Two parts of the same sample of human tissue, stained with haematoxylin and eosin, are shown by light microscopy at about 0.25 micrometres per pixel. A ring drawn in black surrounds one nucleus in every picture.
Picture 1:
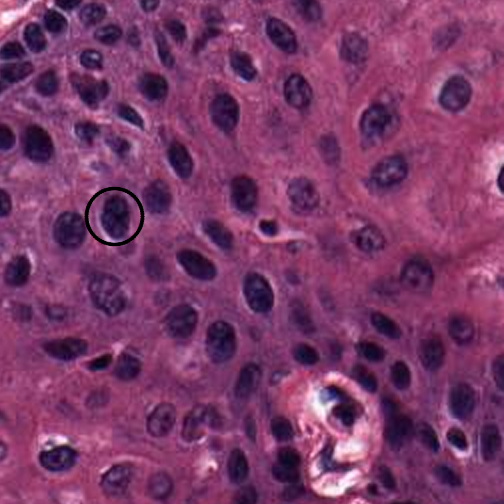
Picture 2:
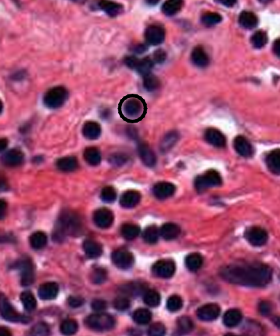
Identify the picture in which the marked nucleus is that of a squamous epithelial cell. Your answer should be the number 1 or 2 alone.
1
